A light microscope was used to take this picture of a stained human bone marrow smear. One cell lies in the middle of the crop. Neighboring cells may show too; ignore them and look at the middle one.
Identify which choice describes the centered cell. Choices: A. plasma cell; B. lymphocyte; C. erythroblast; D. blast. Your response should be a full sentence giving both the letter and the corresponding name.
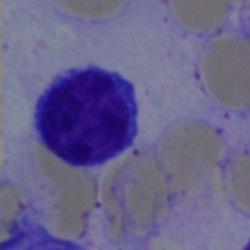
Option B correctly names the cell in the middle as a lymphocyte.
